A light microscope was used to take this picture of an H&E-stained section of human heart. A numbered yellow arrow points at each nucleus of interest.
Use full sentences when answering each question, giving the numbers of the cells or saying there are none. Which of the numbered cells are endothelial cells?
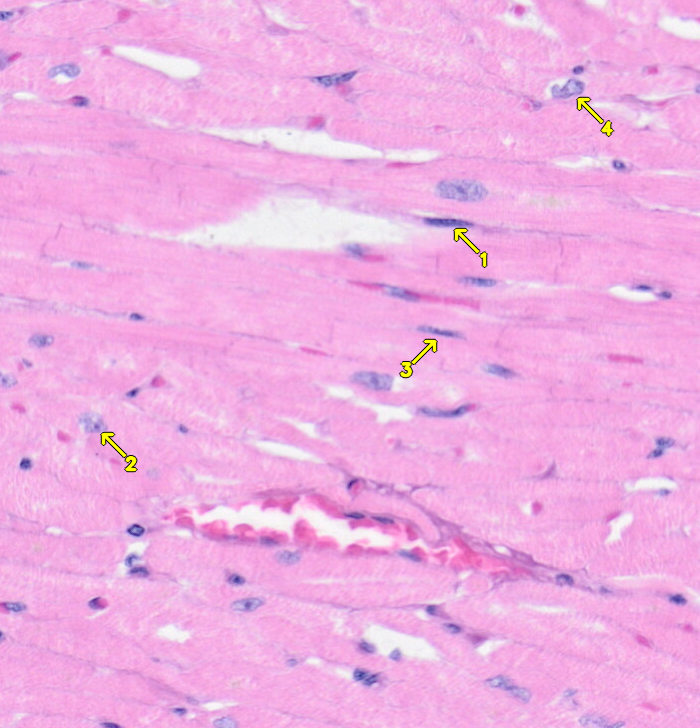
Only the cell with number 1 is an endothelial cell.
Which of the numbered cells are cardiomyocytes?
The cells marked with the numbers 2 and 4 are cardiomyocytes.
